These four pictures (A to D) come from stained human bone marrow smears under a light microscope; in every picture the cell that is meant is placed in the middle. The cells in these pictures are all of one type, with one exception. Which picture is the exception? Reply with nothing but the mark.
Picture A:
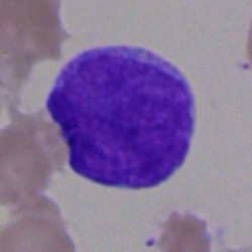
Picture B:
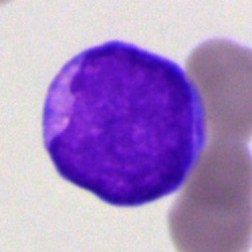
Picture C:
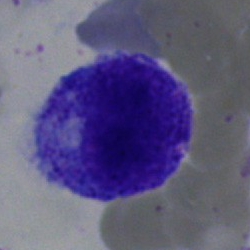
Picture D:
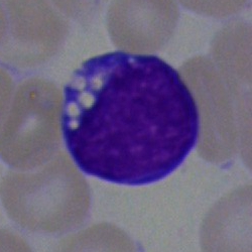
C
